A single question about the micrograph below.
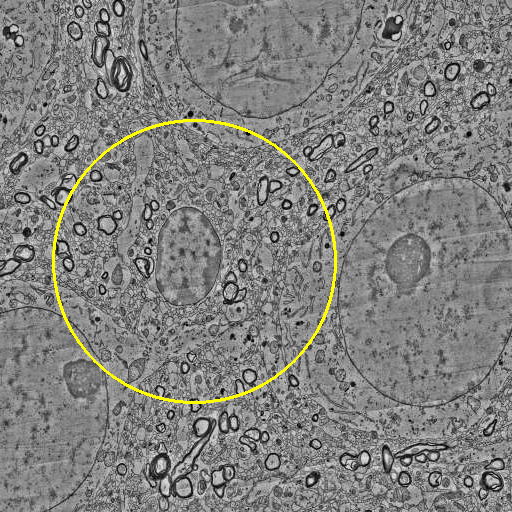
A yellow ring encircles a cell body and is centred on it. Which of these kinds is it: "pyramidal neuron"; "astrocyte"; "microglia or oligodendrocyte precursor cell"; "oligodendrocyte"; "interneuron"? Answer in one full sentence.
The cell body at the centre of the yellow ring belongs to a microglial cell or oligodendrocyte precursor cell.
